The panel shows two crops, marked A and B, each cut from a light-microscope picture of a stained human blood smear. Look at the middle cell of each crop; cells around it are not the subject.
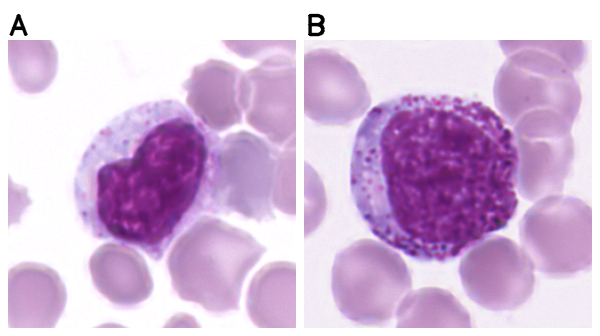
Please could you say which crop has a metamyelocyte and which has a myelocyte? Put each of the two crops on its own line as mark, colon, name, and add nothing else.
A: metamyelocyte
B: myelocyte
